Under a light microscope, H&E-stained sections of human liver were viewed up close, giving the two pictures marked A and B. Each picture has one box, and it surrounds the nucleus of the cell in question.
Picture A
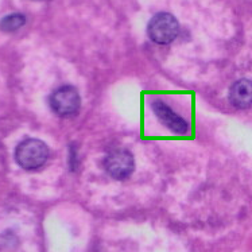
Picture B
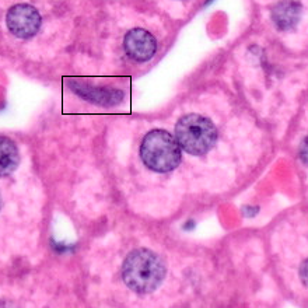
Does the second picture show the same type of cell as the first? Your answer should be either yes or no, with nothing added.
yes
